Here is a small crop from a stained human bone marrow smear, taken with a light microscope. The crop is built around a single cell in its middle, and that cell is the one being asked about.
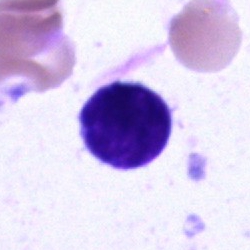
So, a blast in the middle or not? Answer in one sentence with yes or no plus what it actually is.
No, the middle cell is not a blast, it being a lymphocyte.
